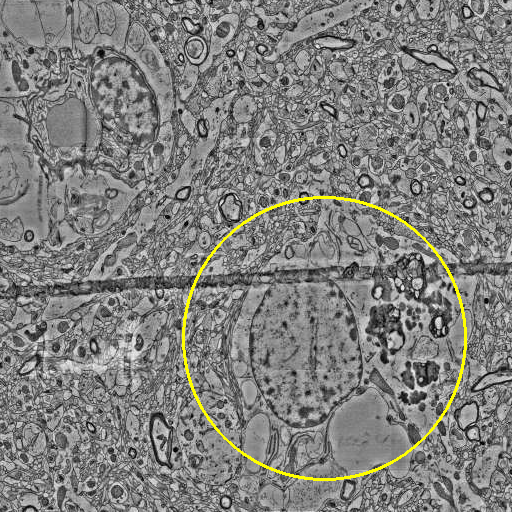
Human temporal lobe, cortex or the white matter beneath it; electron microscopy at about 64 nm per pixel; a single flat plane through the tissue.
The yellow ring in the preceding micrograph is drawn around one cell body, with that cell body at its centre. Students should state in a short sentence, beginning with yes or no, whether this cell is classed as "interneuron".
No, this cell is of another type.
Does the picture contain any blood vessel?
Yes, one shows.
